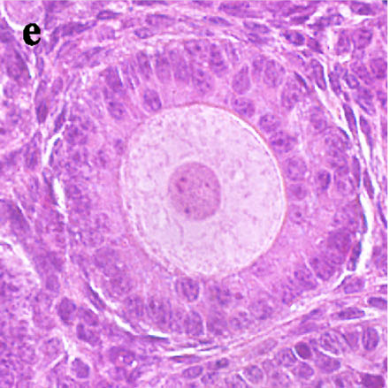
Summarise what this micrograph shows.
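A large round oocyte sits in the centre, its pale pink cytoplasm enclosing a nucleus with a darker pink nucleolus. Around it runs a thin bright rim, and beyond that several concentric layers of closely packed cuboidal to columnar cells with round purple nuclei. These inner cells are aligned radially around the oocyte in an orderly way. At the outside, flattened elongated cells wrap around the layers, separated from the surrounding tissue by narrow clefts. Together this is a secondary follicle of the ovary, an oocyte enveloped by multiple layers of granulosa cells.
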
